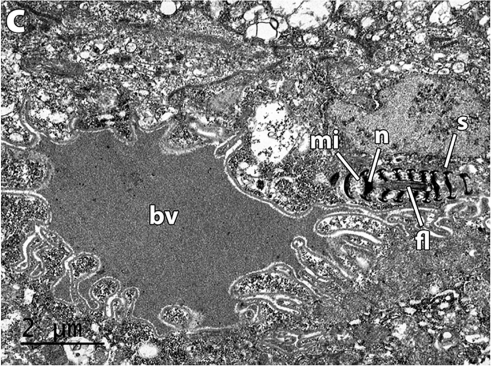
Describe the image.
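This electron micrograph shows a blood vessel with a homogeneous grey lumen lying close to a sperm cell. To the right, a sperm cut lengthwise shows a helically spiraled nucleus that appears as a row of regularly spaced dark bands. A central flagellum runs along the length of the sperm, and mitochondria sit beside the nucleus at one end. The surrounding tissue is packed with membranous cytoplasm and small vesicles.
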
